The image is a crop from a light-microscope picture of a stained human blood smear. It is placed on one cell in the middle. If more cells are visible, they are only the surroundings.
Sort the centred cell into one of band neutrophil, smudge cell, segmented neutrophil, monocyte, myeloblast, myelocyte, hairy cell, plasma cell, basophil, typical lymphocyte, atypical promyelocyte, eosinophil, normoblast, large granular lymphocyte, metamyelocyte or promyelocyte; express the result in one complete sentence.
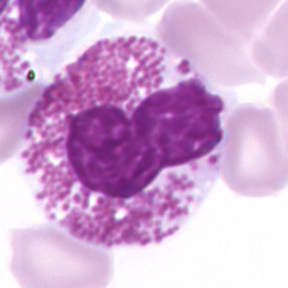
The middle of this crop is occupied by an eosinophil.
